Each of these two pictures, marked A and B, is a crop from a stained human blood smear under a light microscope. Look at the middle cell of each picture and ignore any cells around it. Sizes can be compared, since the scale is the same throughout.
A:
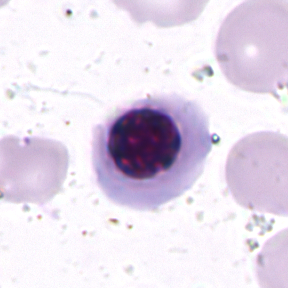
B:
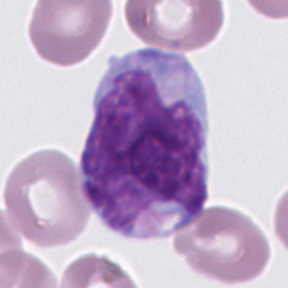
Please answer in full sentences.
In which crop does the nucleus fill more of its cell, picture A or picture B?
In picture B the nucleus takes up the larger part of its cell.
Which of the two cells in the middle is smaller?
Smaller is the cell in picture A, and the other is about 2 times as large in area.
